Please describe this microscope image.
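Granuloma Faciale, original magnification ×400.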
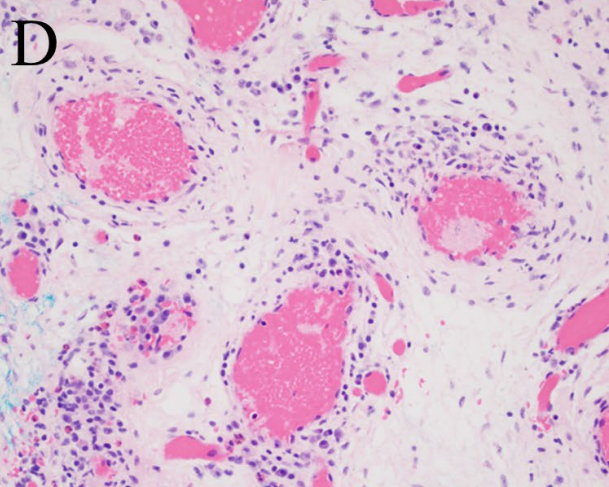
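Dermal blood vessels with perivascular fibrosis are shown. Several vessels, their lumens packed with red blood cells, are each wrapped by concentric layers of pale pink fibrous tissue containing flattened, elongated nuclei. The surrounding stroma is loose and pale, with thin collagen strands and scattered spindle cells. Small clusters of inflammatory cells with dark nuclei lie near some of the vessels, particularly towards the lower left, where a faint blue-green tint is also visible. The onion-skin-like rings of fibrous tissue around the vessels stand out from the looser stroma between them.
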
